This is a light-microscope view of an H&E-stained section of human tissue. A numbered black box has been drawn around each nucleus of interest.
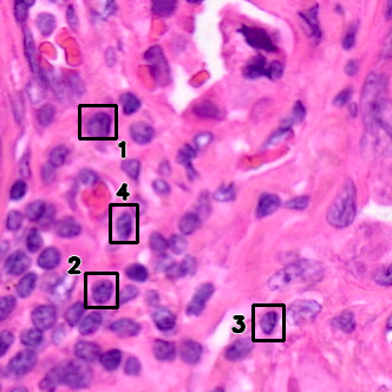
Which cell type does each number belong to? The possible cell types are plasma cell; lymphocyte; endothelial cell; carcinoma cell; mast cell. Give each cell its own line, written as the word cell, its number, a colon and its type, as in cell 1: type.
cell 1: plasma cell
cell 2: lymphocyte
cell 3: lymphocyte
cell 4: lymphocyte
